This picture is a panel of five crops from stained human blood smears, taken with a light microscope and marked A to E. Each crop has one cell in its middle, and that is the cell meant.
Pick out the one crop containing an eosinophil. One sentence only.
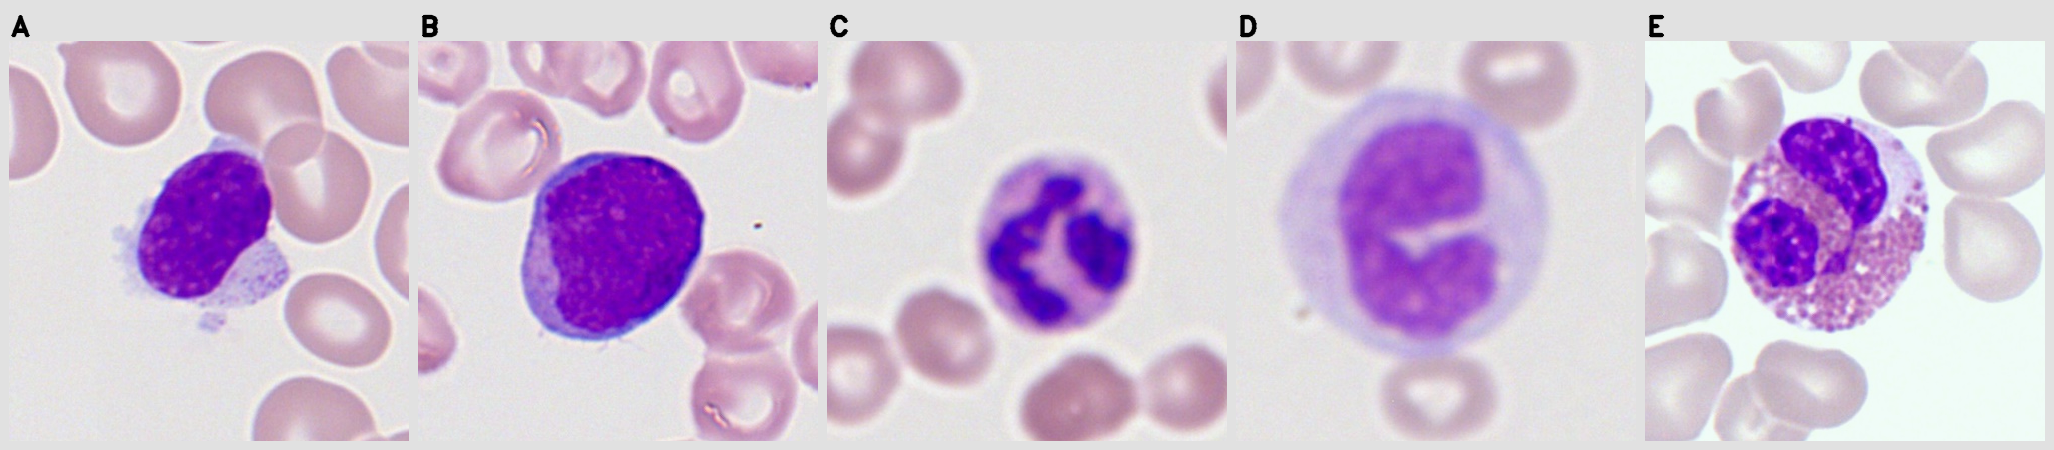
Among these crops, crop E holds an eosinophil.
